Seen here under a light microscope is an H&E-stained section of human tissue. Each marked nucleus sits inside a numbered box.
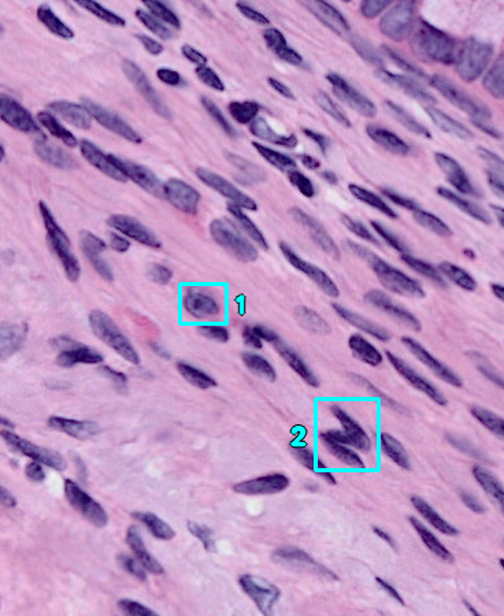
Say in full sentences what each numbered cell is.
Cell 1 is an endothelial cell and cell 2 is a fibroblast.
